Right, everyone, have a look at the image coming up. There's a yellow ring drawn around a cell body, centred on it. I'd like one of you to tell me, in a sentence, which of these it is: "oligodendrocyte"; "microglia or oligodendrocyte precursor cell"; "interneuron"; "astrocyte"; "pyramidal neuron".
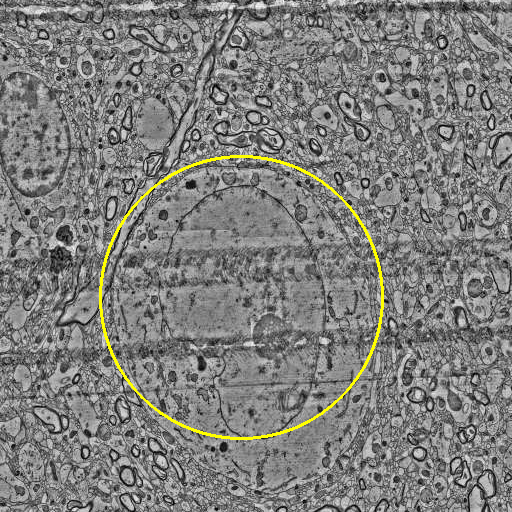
The yellow ring sits on a pyramidal neuron.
